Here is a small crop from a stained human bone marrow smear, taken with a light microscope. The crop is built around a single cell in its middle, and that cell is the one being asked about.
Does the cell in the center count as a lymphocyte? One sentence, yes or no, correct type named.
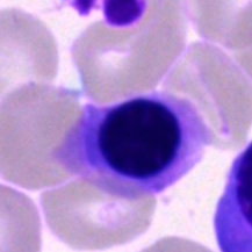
No, the label for the central cell is a normoblast, not a lymphocyte.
